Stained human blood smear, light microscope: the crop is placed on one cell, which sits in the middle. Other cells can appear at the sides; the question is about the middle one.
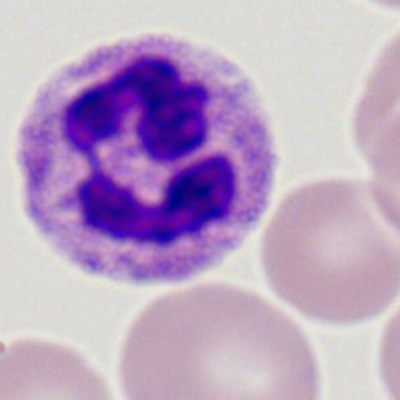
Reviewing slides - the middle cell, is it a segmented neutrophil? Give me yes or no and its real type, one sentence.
Yes, that is right: the middle cell is a segmented neutrophil.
